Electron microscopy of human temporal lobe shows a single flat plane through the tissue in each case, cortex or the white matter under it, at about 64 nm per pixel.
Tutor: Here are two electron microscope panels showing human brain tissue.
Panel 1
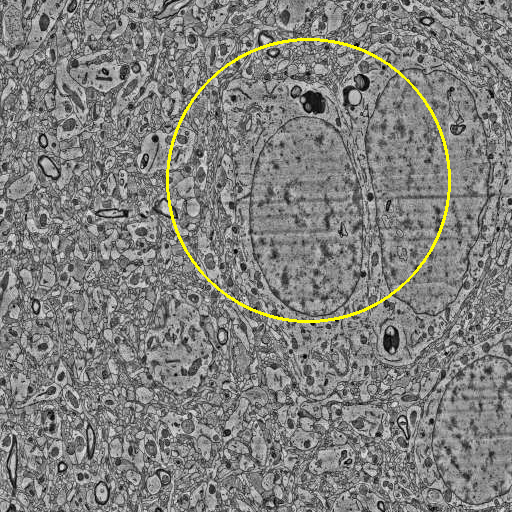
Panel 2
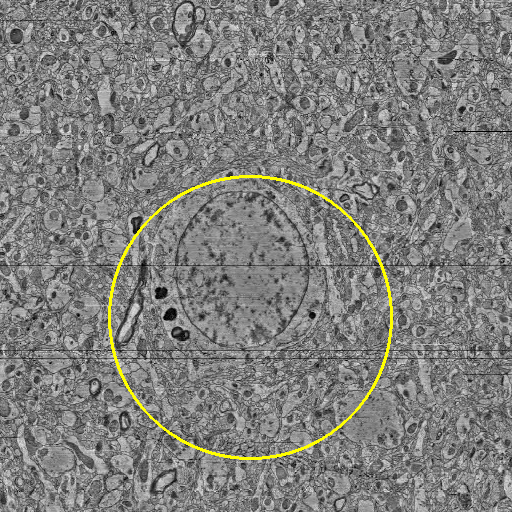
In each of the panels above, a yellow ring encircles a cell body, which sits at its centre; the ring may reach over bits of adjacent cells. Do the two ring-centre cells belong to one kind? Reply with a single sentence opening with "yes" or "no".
Yes, the two cells sitting at the ring centres in the panels belong to one kind.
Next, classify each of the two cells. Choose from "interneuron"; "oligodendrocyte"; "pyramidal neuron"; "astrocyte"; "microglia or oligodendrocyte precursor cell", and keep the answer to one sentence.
Each of the ringed cells, first and second, is a pyramidal neuron.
